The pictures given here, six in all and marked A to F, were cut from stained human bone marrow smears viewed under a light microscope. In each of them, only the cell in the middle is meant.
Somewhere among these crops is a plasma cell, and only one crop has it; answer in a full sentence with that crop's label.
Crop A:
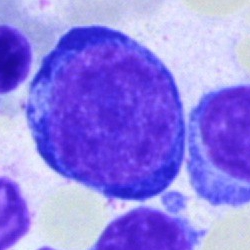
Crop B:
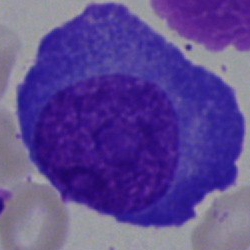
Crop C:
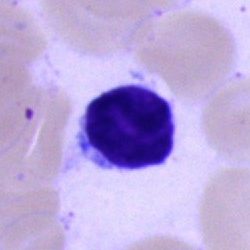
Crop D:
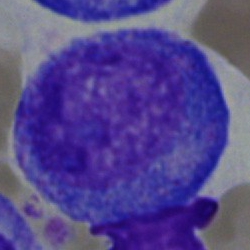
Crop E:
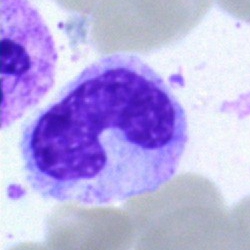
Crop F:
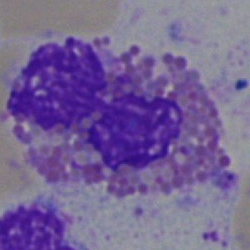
As for which crop shows a plasma cell, it is crop B.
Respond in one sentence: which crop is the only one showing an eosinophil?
The crop bearing an eosinophil is crop F.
